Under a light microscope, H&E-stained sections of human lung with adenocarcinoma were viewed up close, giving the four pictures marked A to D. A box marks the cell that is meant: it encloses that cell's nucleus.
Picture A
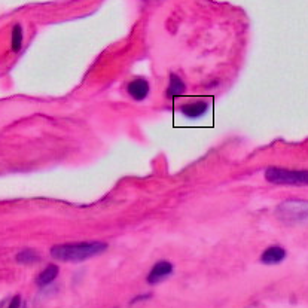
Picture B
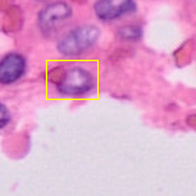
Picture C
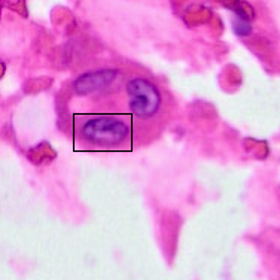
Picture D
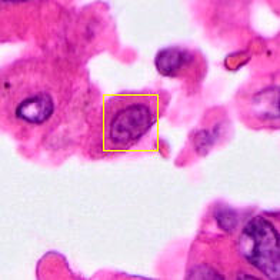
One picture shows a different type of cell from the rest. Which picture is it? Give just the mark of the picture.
A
